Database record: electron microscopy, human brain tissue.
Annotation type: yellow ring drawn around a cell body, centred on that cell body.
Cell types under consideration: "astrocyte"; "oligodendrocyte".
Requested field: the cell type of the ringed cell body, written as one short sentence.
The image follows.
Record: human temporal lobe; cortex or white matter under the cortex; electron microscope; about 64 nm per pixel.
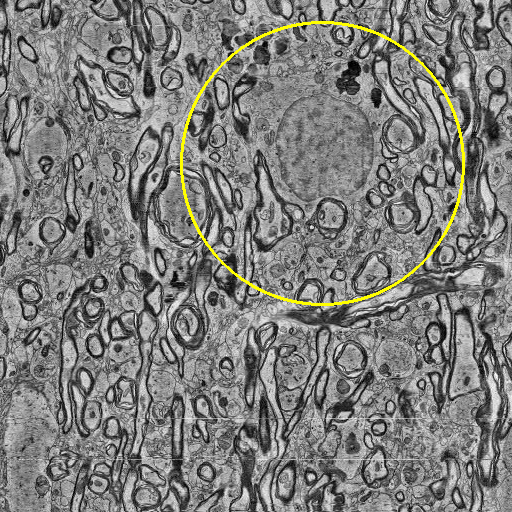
The ringed cell body represents an oligodendrocyte.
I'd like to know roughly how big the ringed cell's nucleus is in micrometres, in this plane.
In this plane, the nucleus is roughly 7 by 6 micrometres.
